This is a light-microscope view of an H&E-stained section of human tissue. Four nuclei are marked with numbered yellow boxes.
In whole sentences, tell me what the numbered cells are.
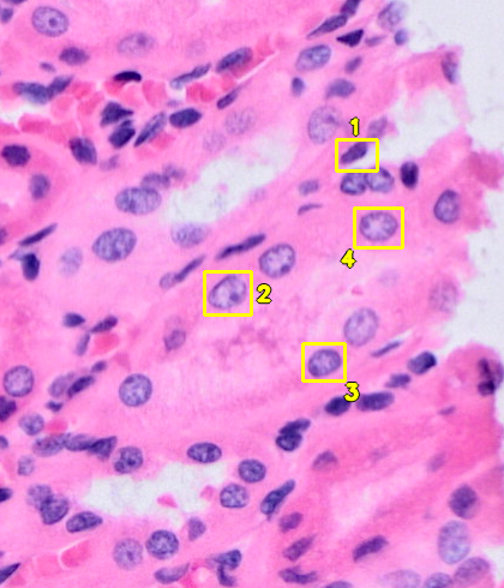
Cell 1 is a loop of Henle or distal tubule cell. Cells 2, 3 and 4 are proximal tubule cells.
